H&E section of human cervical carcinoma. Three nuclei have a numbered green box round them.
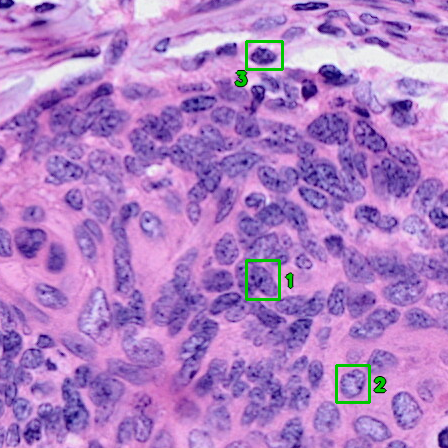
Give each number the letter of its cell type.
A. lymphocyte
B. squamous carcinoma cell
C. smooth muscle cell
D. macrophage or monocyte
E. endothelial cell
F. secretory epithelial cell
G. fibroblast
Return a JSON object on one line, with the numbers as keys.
{"1": "B", "2": "B", "3": "A"}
